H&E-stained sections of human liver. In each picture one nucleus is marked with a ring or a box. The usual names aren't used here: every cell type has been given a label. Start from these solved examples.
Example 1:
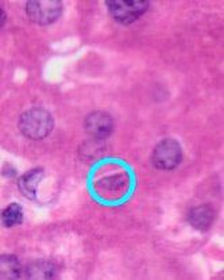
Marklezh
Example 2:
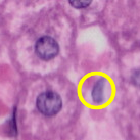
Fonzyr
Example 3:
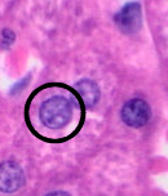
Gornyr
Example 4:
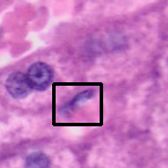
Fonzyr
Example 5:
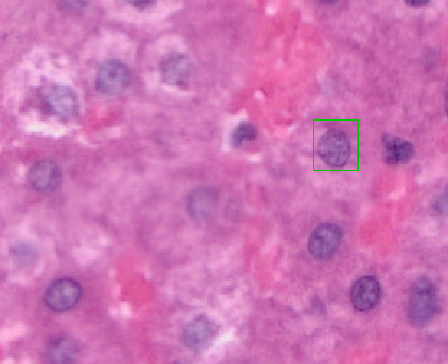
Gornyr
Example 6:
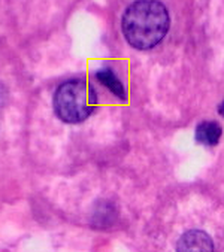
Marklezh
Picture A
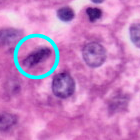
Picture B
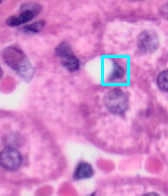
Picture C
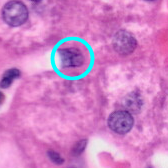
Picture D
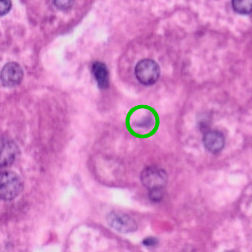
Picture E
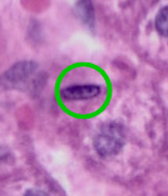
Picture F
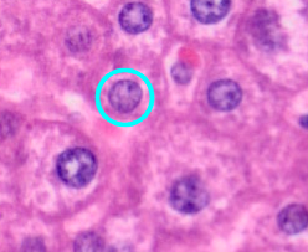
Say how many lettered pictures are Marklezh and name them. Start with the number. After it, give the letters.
2: A, E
